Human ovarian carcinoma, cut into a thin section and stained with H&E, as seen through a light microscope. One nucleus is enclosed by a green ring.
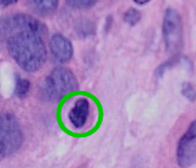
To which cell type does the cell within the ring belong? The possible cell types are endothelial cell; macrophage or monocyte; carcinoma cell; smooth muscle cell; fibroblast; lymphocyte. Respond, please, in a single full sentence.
Histopathologically, the cell within the ring is a lymphocyte.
